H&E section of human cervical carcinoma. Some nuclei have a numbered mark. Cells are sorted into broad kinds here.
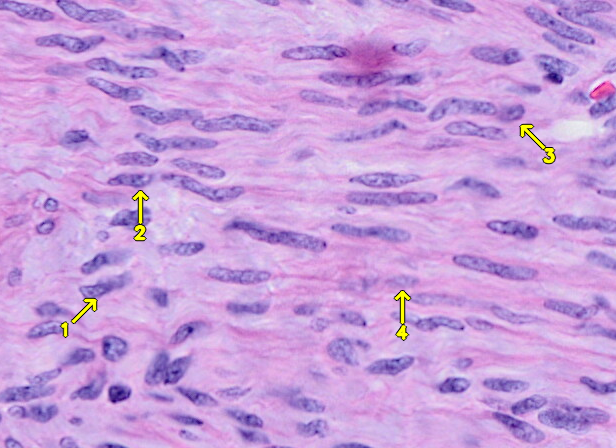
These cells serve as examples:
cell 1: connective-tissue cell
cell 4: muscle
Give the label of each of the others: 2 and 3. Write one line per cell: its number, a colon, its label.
2: muscle
3: muscle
